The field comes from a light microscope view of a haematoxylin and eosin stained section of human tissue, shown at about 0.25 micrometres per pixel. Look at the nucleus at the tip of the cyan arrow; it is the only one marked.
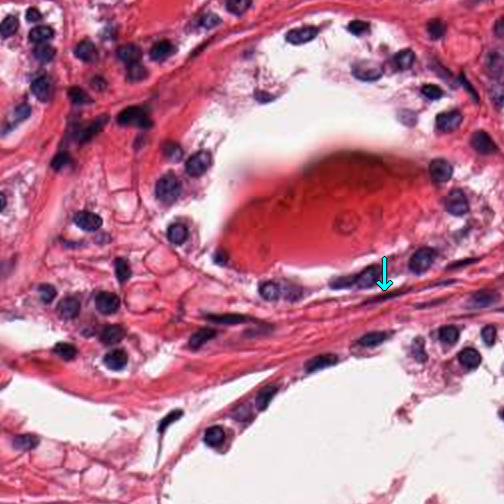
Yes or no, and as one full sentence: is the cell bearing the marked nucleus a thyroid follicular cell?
No, the marked nucleus does not form part of a thyroid follicular cell, being part of a supporting cell.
